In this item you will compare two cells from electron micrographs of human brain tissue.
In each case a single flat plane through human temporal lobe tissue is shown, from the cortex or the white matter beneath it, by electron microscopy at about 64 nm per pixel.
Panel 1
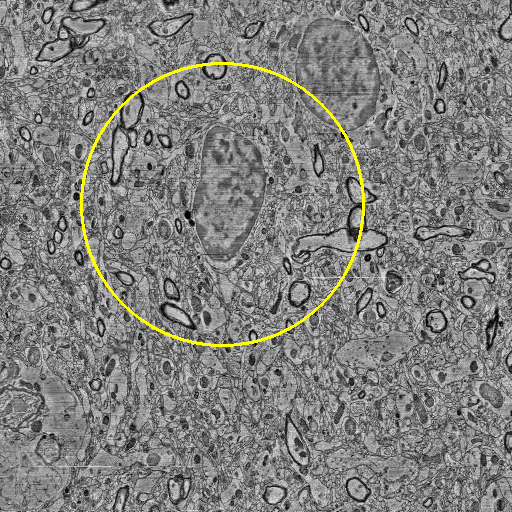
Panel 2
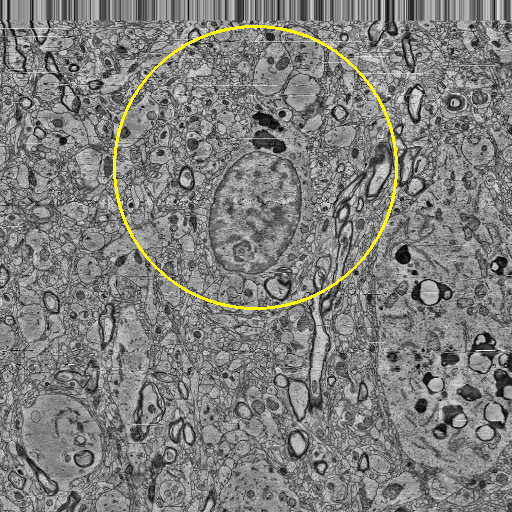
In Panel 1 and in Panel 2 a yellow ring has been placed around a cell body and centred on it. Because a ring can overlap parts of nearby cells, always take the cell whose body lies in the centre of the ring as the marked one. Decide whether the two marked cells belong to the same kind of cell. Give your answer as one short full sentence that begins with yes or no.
No, the two marked cells belong to two kinds of cell.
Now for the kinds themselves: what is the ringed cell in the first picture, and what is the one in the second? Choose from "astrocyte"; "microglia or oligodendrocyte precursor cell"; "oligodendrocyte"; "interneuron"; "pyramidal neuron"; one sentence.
Here the first cell is a microglial cell or oligodendrocyte precursor cell and the second cell is an oligodendrocyte.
